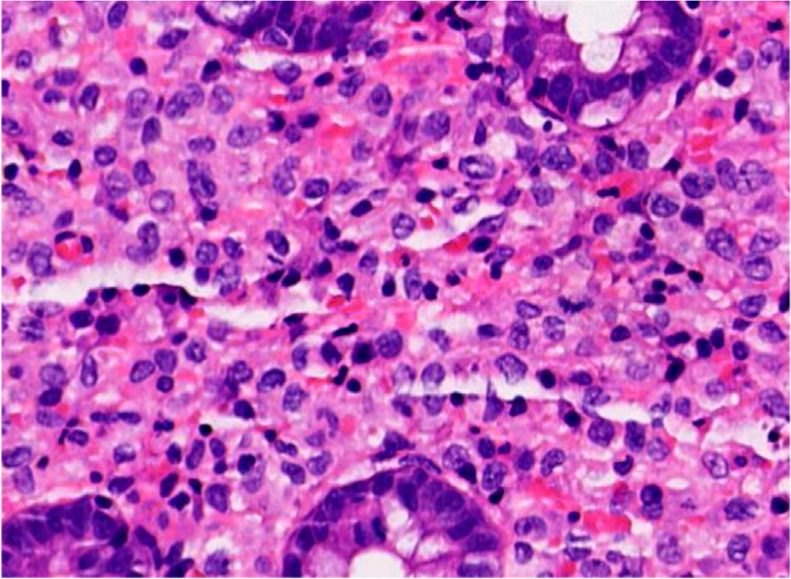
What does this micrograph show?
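This is intestinal mucosa whose lamina propria is filled by a dense sheet of atypical cells, with scattered eosinophils among them. The atypical cells are medium-sized, with oval, folded or indented nuclei, fine pale chromatin, and abundant pale pink, finely powdery cytoplasm. Mixed among them are eosinophils with bright red granular cytoplasm and two-lobed nuclei, and small cells with round, dark nuclei. Crypts lined by columnar epithelium with dark, crowded basal nuclei and pale mucin-filled goblet cells lie at the top and bottom edges of the field.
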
